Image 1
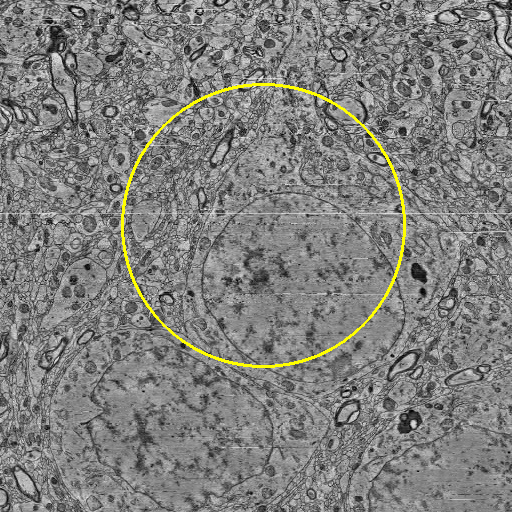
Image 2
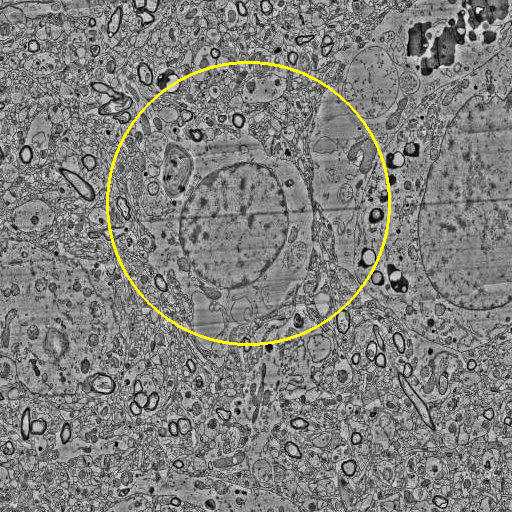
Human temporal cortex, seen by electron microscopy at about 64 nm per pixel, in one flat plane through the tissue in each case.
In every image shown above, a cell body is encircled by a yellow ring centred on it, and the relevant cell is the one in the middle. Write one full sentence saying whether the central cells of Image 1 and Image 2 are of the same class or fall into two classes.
The cell at the ring's centre in Image 1 and its counterpart in Image 2 fall into two classes.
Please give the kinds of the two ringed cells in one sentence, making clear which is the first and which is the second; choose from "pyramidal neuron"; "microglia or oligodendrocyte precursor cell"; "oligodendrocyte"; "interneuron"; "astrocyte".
In the second picture the ringed cell is an astrocyte; in the first it is a pyramidal neuron.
